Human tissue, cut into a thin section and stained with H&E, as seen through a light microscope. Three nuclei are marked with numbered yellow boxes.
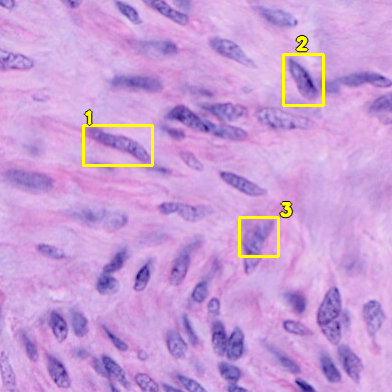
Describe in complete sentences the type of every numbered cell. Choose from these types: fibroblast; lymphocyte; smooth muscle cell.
Cell 1 is a smooth muscle cell, cell 2 is a fibroblast and cell 3 is a smooth muscle cell.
